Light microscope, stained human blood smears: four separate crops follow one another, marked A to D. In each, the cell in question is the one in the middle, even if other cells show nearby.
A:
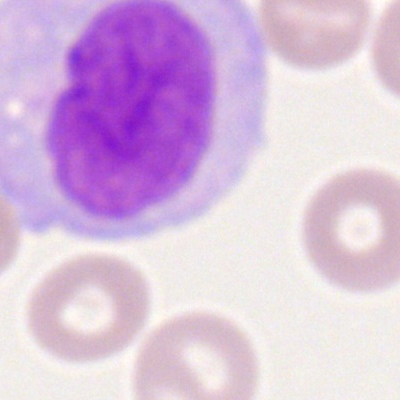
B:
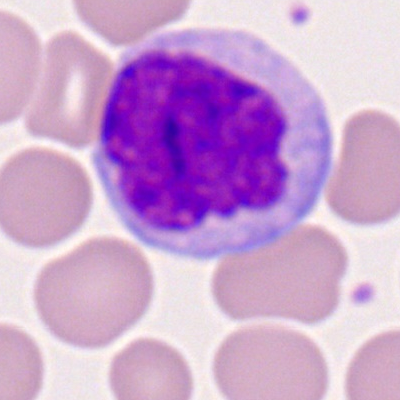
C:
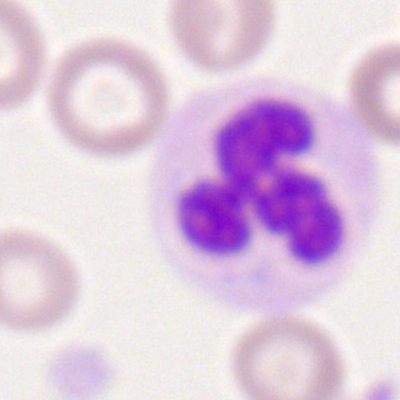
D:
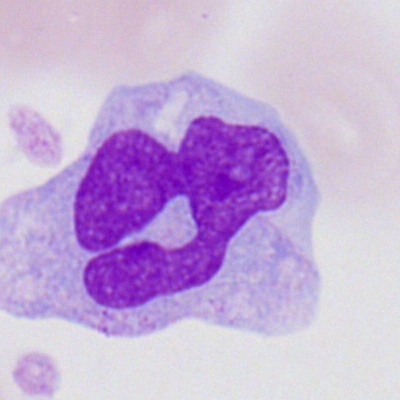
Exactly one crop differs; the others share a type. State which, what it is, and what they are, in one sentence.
The different crop is C; it is a segmented neutrophil, and the others all show monocytes.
